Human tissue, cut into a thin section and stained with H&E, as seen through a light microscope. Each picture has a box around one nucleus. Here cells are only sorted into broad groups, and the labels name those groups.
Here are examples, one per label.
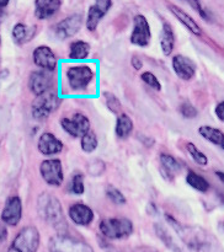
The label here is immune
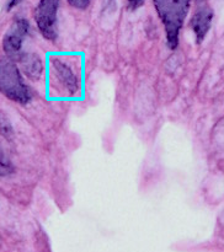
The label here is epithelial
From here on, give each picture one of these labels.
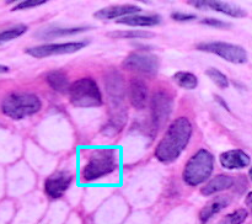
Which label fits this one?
epithelial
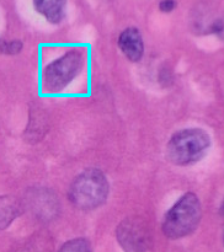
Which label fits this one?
epithelial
